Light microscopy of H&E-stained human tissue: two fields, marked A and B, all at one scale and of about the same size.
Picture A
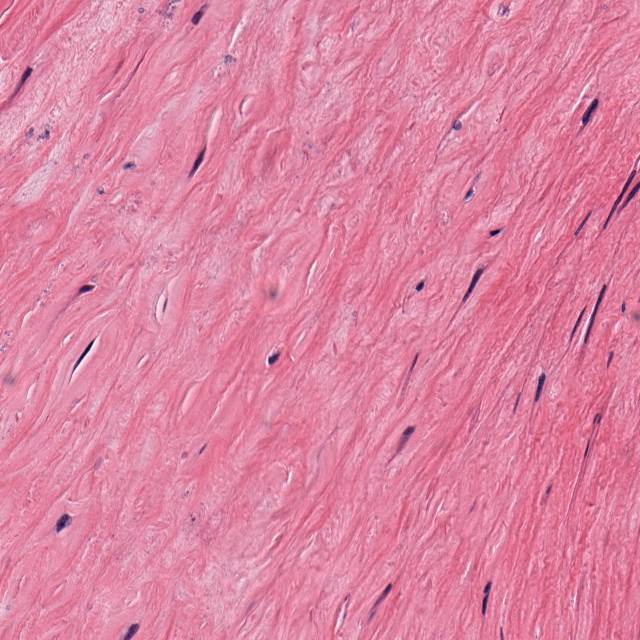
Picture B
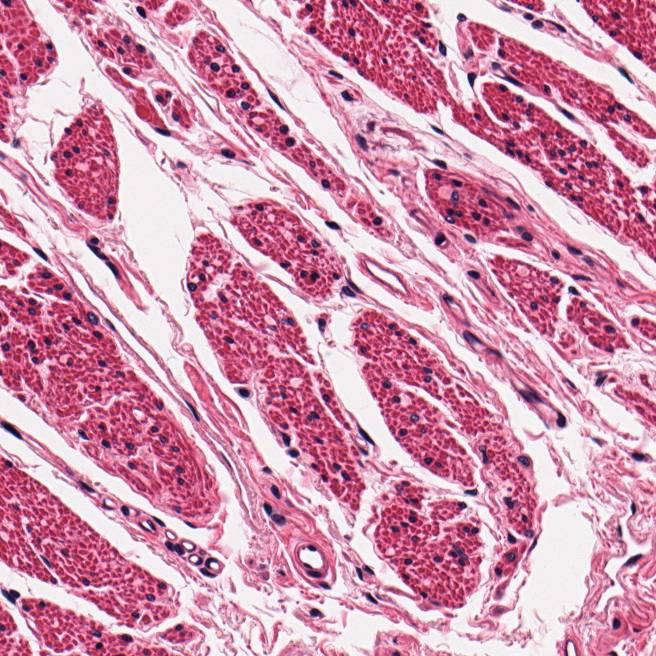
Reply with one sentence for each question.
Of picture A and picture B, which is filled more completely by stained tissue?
Less of picture A is empty and white.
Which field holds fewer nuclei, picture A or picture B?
Picture A holds fewer nuclei than picture B.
